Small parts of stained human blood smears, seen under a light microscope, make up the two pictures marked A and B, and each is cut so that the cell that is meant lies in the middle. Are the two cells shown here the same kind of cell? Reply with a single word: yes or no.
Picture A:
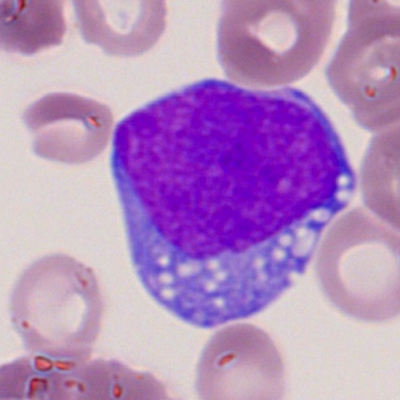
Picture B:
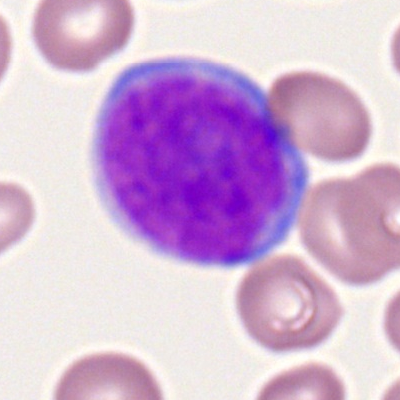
yes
